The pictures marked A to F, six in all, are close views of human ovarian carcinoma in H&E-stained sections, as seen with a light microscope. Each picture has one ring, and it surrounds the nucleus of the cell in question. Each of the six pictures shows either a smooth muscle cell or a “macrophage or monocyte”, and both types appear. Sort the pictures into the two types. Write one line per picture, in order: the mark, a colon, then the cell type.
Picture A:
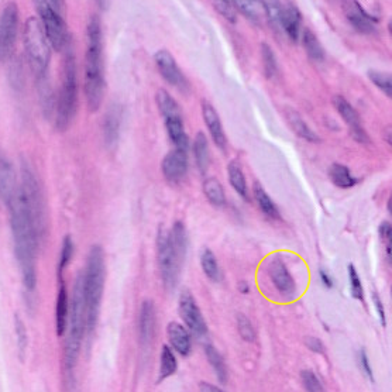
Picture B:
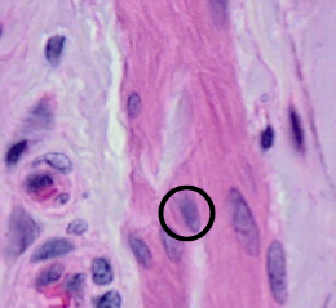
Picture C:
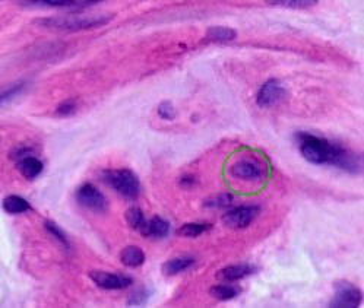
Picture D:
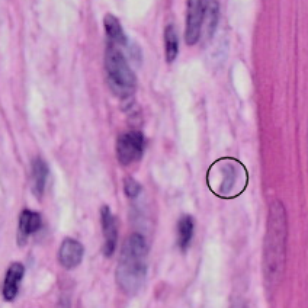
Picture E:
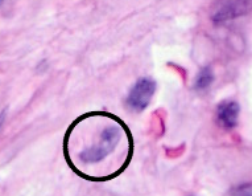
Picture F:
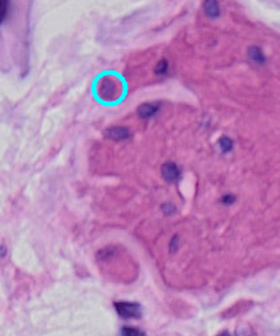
A: smooth muscle cell
B: smooth muscle cell
C: smooth muscle cell
D: macrophage or monocyte
E: macrophage or monocyte
F: smooth muscle cell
